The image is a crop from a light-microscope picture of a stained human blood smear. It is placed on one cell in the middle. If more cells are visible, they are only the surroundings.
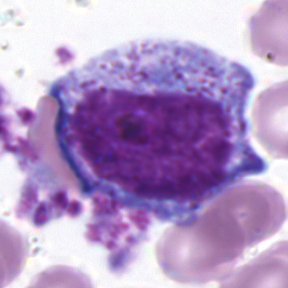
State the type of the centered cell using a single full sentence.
Where the crop is centred, there is a promyelocyte.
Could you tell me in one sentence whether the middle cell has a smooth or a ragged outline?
The outer contour of the cell is irregular, with ragged portions or projections along it.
